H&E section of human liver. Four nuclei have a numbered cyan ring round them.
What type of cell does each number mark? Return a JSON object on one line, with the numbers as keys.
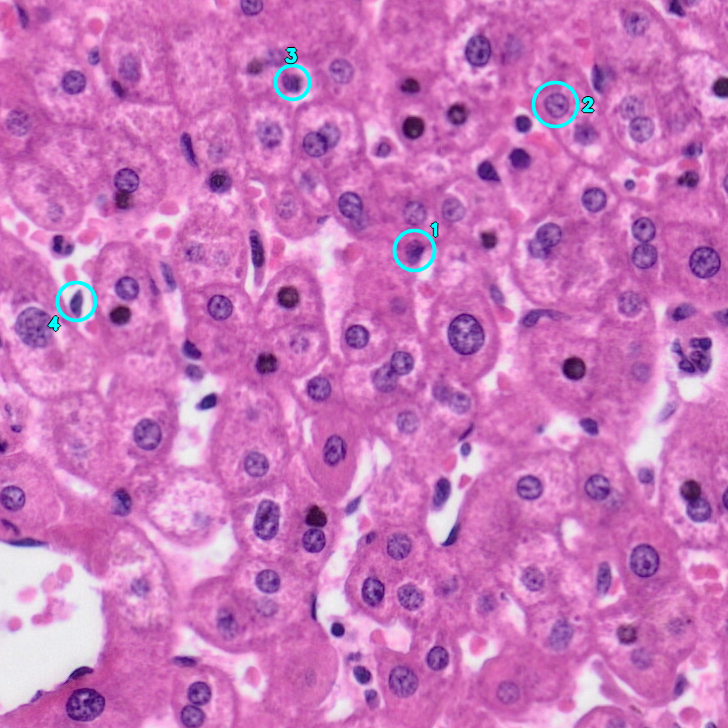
{"1": "fibroblast or stellate cell", "2": "hepatocyte", "3": "Kupffer cell", "4": "lymphocyte"}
